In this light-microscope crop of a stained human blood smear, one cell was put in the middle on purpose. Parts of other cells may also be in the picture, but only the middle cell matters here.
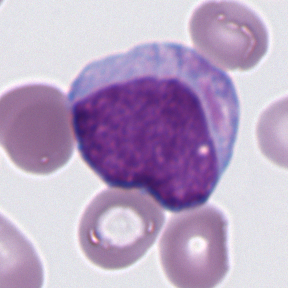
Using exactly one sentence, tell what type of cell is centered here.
The cell sitting right in the middle is an atypical promyelocyte.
